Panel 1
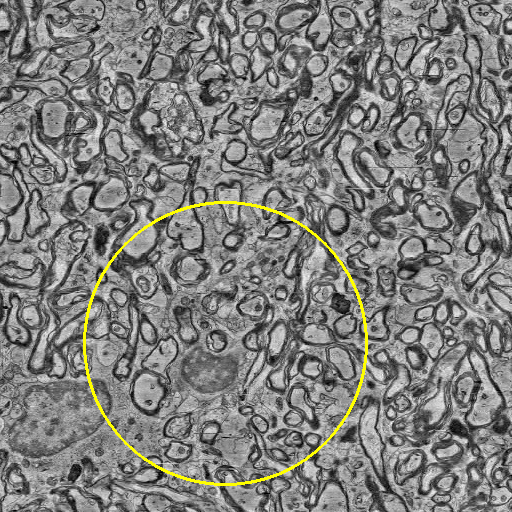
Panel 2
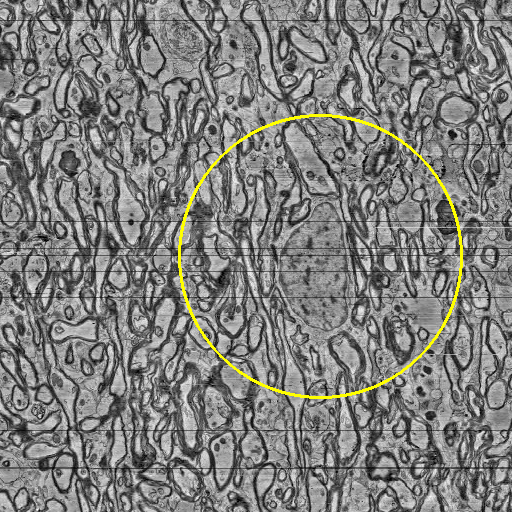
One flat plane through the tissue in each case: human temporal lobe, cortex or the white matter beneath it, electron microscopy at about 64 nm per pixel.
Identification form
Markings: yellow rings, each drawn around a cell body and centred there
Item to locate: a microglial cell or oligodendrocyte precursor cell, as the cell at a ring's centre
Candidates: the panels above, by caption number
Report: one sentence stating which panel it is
It is Panel 2.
